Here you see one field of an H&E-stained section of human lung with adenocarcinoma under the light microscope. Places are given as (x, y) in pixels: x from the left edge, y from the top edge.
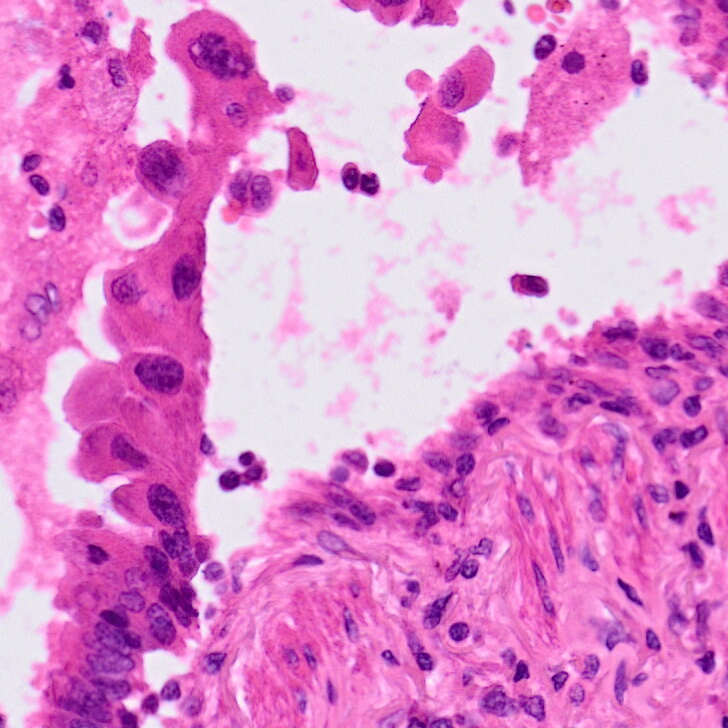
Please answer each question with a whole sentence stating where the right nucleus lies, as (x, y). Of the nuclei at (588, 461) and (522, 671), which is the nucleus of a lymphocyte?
In this pair, the nucleus at (522, 671) belongs to a lymphocyte.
